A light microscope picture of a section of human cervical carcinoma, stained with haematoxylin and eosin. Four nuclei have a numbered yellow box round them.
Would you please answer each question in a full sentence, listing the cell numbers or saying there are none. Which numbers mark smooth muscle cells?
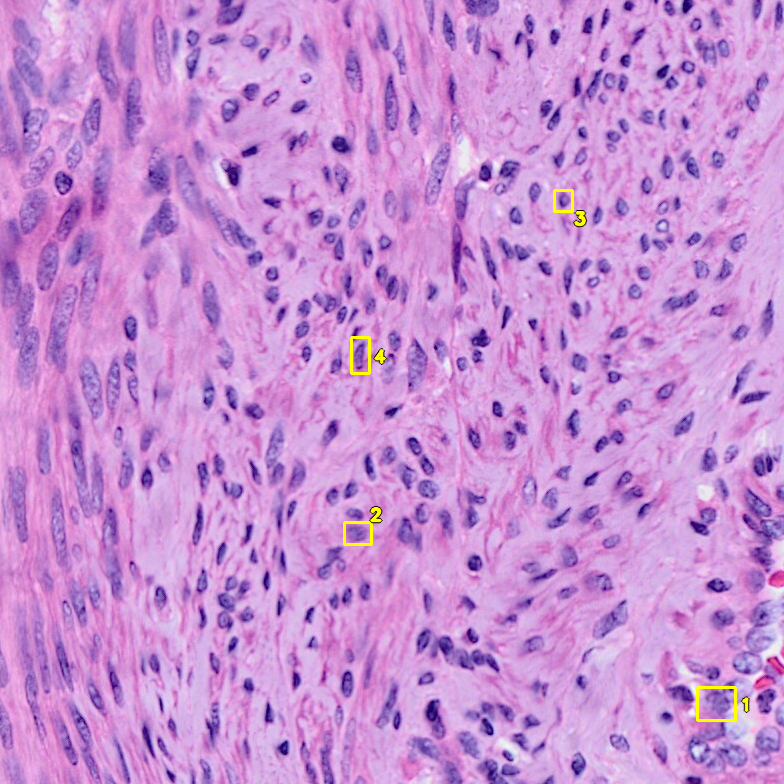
Identification: the cells with numbers 2, 3 and 4 are smooth muscle cells.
